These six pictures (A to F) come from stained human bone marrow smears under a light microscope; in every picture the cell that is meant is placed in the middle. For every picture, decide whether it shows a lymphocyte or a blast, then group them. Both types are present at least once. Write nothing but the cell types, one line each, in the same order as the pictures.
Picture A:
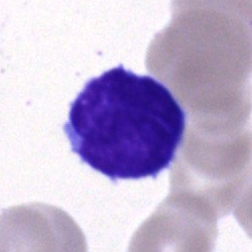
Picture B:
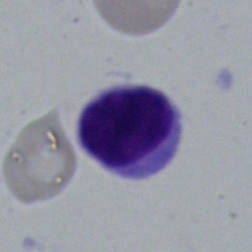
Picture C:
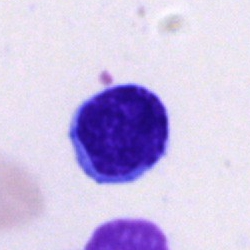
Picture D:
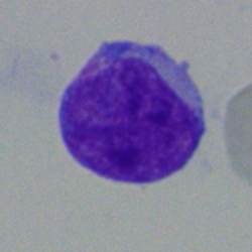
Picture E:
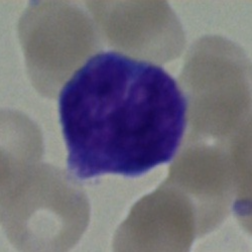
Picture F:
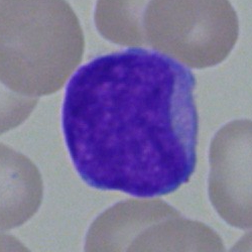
lymphocyte
lymphocyte
lymphocyte
blast
blast
blast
